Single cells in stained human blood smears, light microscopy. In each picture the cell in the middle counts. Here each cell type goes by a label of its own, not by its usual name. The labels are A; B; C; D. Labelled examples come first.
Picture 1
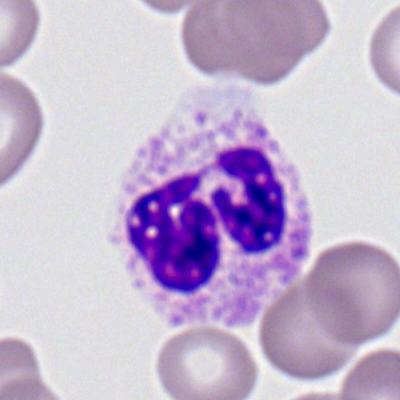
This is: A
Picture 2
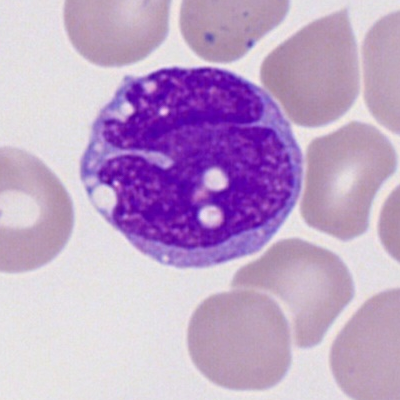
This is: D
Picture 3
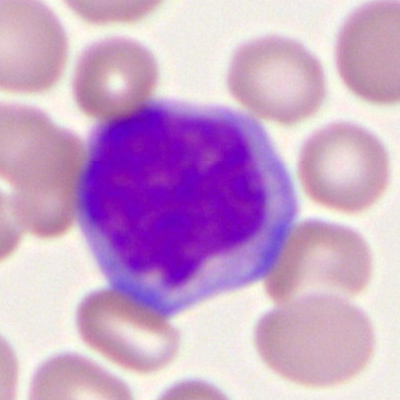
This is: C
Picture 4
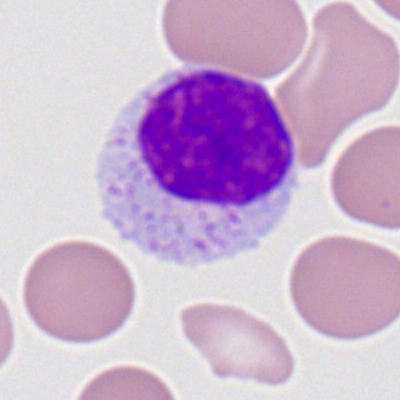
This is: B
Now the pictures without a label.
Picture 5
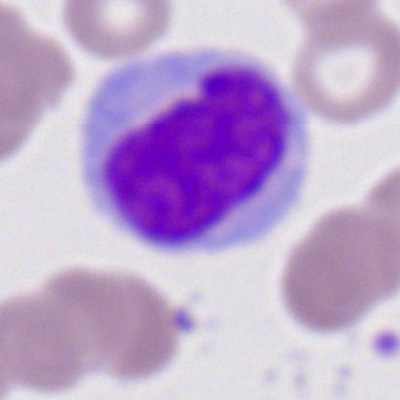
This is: D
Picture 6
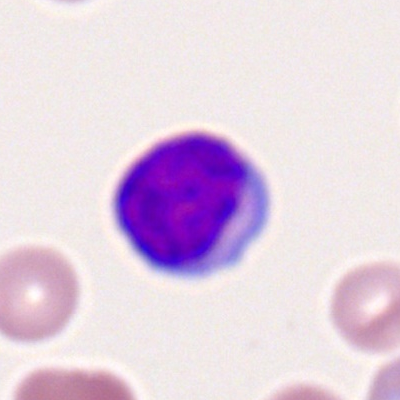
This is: B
